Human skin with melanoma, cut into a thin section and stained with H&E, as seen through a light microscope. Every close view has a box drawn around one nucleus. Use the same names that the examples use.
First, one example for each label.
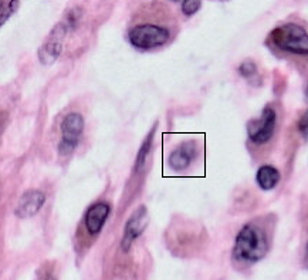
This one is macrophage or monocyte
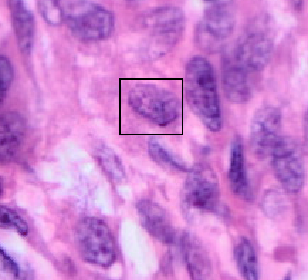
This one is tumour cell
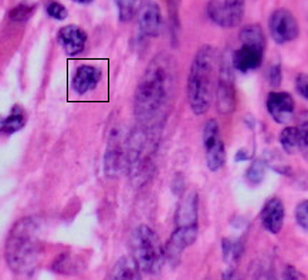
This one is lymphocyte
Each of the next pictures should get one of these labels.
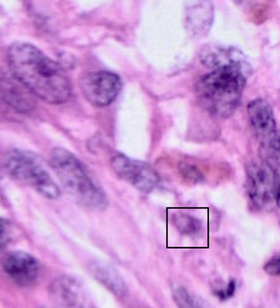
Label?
tumour cell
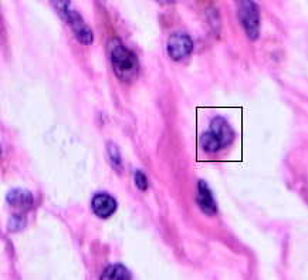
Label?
macrophage or monocyte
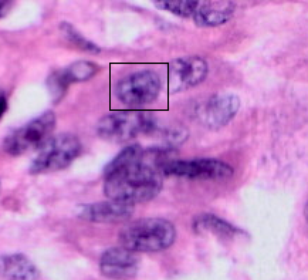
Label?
tumour cell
